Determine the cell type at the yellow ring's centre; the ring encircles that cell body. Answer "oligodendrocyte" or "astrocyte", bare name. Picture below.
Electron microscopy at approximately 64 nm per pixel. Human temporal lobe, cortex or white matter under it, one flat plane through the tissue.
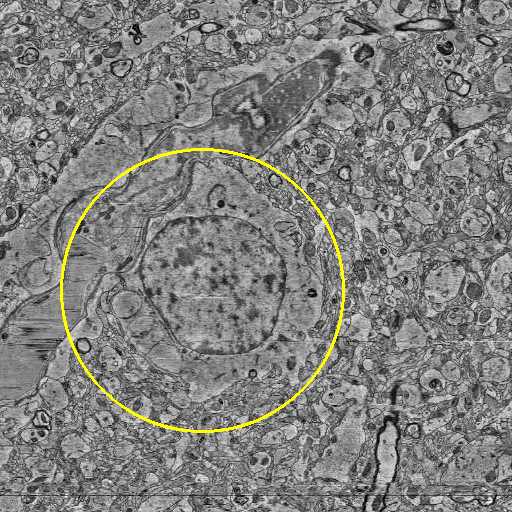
astrocyte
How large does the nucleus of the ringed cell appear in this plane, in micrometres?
The nucleus is approximately 9 micrometers across in this plane.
